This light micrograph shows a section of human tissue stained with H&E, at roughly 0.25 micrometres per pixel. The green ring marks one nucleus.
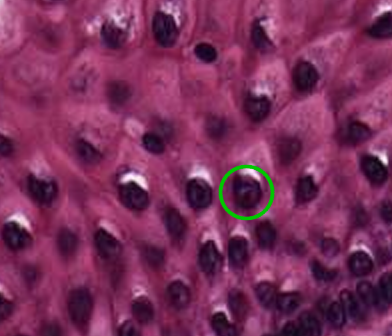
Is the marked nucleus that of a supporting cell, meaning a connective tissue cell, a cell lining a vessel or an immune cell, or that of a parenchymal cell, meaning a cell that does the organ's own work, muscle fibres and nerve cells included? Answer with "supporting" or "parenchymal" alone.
parenchymal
